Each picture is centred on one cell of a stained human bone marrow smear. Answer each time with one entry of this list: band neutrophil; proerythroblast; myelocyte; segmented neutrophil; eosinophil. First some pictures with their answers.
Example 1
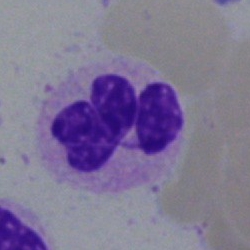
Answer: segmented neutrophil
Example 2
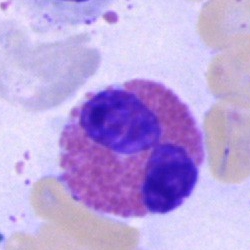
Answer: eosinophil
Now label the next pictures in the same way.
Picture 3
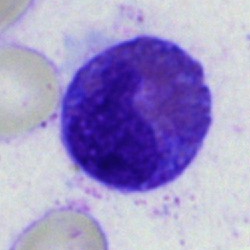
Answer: eosinophil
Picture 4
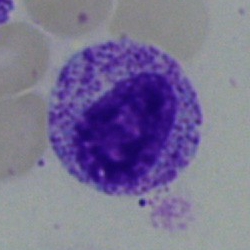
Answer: myelocyte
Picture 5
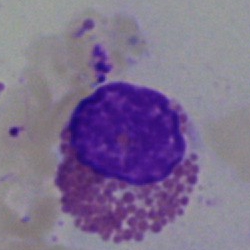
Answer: eosinophil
